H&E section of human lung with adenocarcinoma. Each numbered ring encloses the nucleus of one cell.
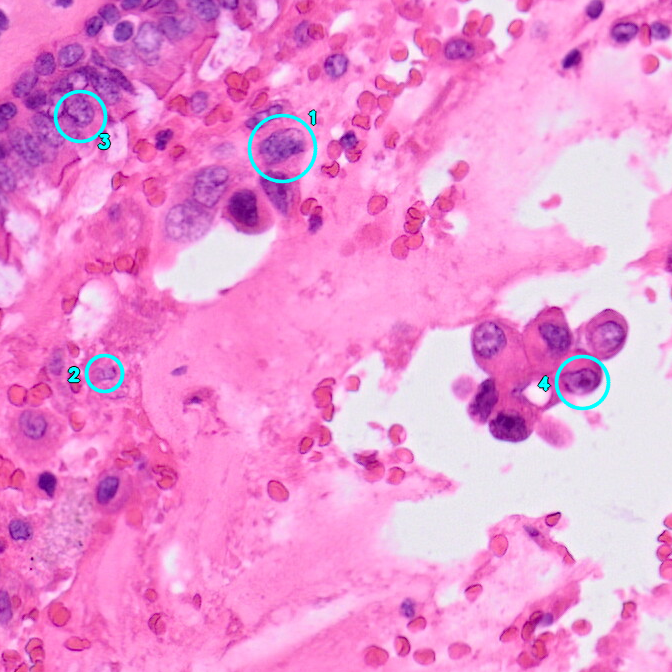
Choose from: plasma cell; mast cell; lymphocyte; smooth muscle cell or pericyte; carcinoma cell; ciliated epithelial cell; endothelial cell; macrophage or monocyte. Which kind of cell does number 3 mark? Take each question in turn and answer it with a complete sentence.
Cell 3, as marked in the section, is a ciliated epithelial cell.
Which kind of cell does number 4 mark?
The expected answer is that cell 4 is a carcinoma cell.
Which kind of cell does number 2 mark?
Corresponding to a macrophage or monocyte is the cell labelled 2.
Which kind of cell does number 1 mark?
At number 1, the marked cell is a carcinoma cell.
